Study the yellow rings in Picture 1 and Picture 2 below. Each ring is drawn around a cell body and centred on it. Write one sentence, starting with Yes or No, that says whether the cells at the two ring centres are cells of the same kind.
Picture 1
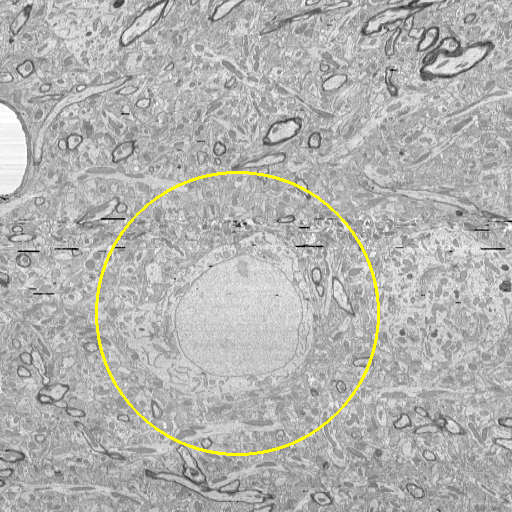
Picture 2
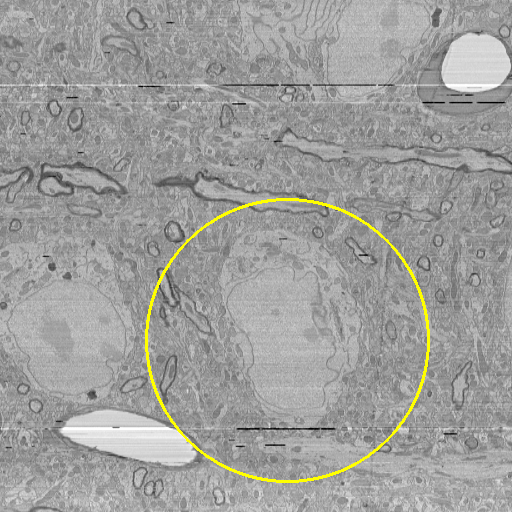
Yes, the cells at both ring centres are of the same kind.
